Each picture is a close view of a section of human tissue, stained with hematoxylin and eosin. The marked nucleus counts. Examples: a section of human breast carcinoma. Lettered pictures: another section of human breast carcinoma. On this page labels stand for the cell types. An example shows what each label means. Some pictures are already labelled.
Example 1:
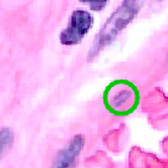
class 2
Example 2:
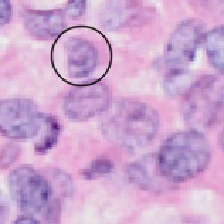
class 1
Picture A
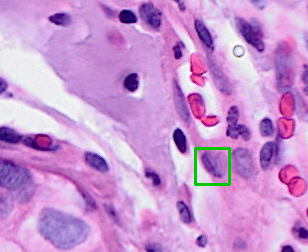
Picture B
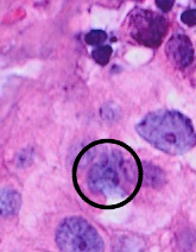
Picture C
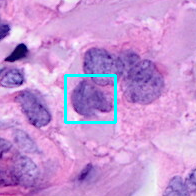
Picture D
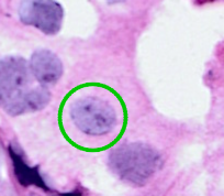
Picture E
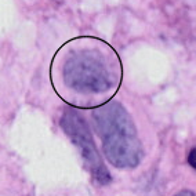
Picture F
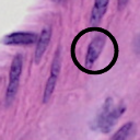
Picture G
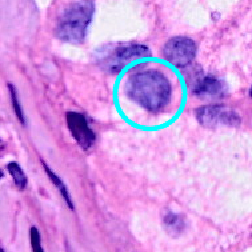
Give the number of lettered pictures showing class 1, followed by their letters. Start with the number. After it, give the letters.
Count: 5 (B, C, D, E, G)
